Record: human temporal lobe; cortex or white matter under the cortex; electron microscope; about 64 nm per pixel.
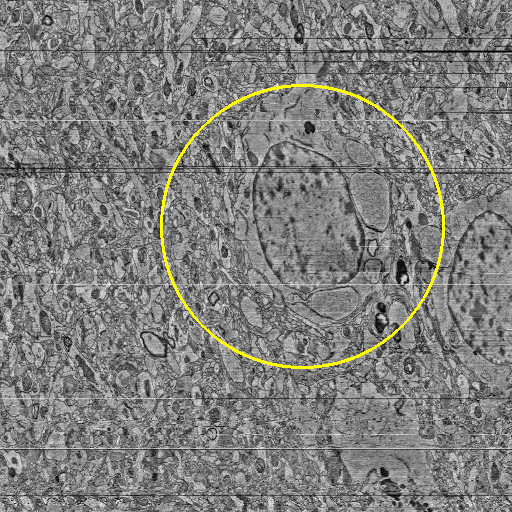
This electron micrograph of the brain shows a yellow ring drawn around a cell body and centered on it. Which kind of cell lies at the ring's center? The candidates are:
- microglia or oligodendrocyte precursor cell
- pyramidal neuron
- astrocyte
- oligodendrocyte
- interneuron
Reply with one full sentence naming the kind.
The cell lying at the ring's center in this micrograph is an astrocyte.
